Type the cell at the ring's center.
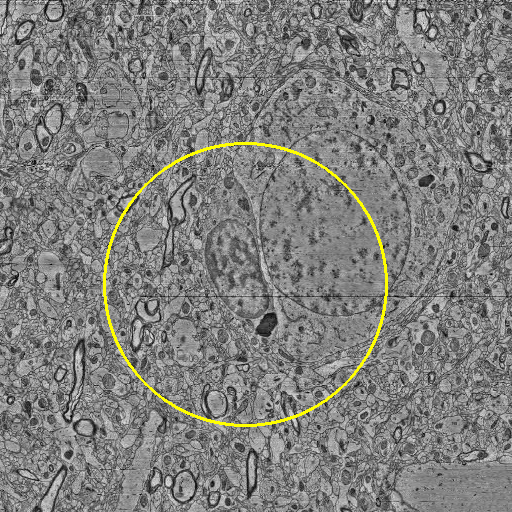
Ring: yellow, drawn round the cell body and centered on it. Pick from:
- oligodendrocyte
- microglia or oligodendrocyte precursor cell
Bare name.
oligodendrocyte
